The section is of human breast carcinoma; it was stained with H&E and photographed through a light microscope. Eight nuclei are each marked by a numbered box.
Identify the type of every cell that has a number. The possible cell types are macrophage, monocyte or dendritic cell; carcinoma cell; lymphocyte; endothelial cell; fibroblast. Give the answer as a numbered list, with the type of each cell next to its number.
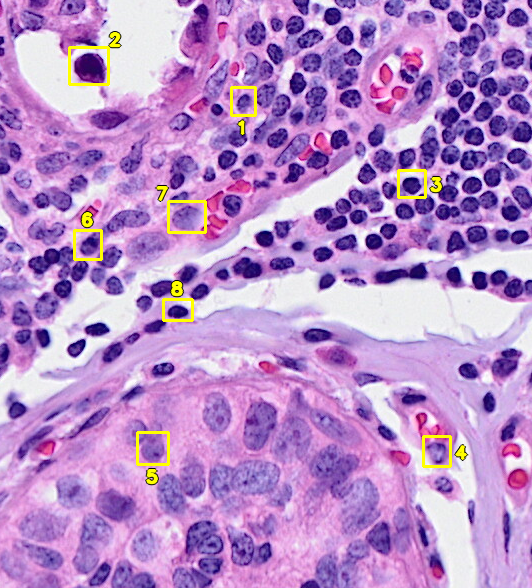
1. lymphocyte
2. carcinoma cell
3. lymphocyte
4. endothelial cell
5. carcinoma cell
6. lymphocyte
7. endothelial cell
8. lymphocyte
